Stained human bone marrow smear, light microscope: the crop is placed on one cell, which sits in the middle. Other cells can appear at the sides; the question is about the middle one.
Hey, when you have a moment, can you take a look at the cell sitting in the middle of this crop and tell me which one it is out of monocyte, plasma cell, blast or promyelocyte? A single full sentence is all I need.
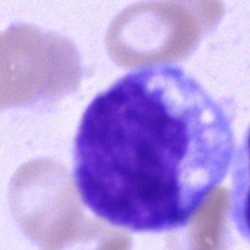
The middle of this crop holds a monocyte.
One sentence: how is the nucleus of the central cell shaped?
Just one compact nuclear mass here, round, oval or kidney-shaped.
